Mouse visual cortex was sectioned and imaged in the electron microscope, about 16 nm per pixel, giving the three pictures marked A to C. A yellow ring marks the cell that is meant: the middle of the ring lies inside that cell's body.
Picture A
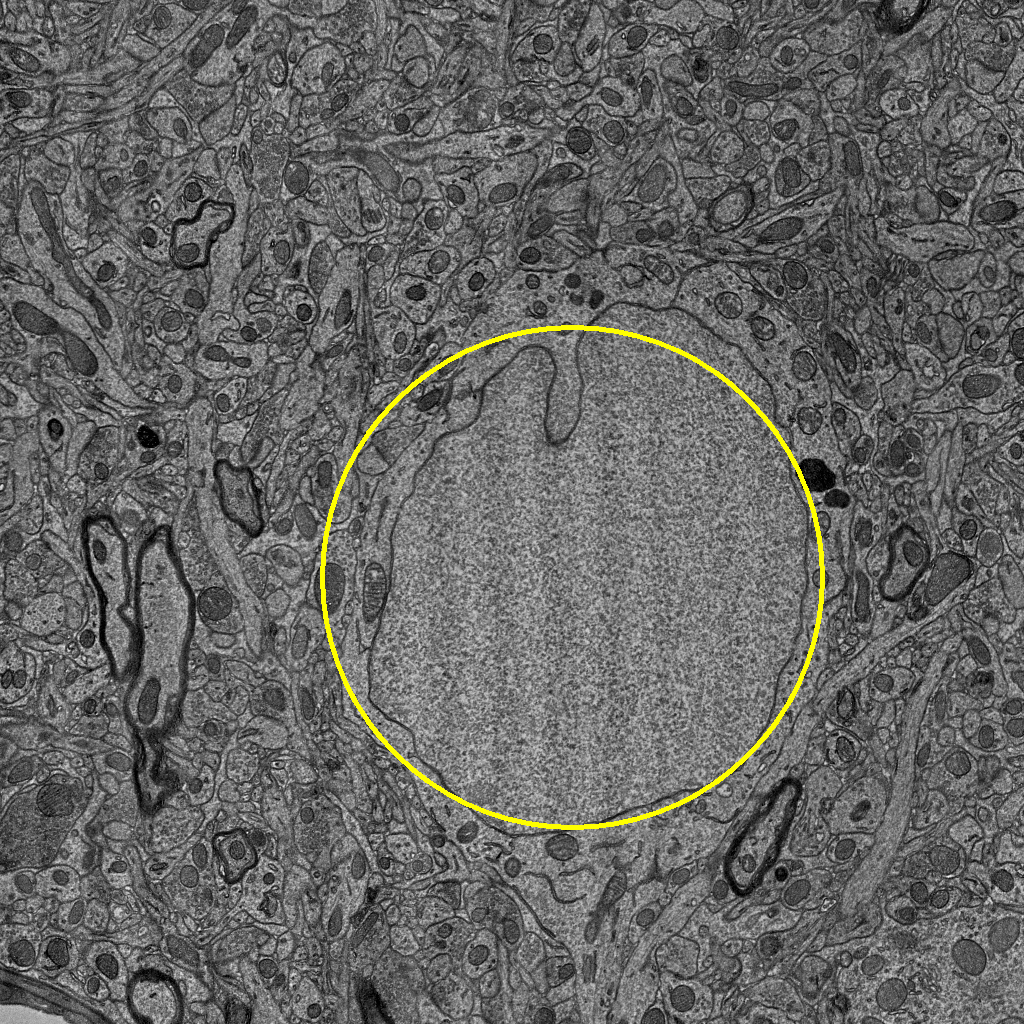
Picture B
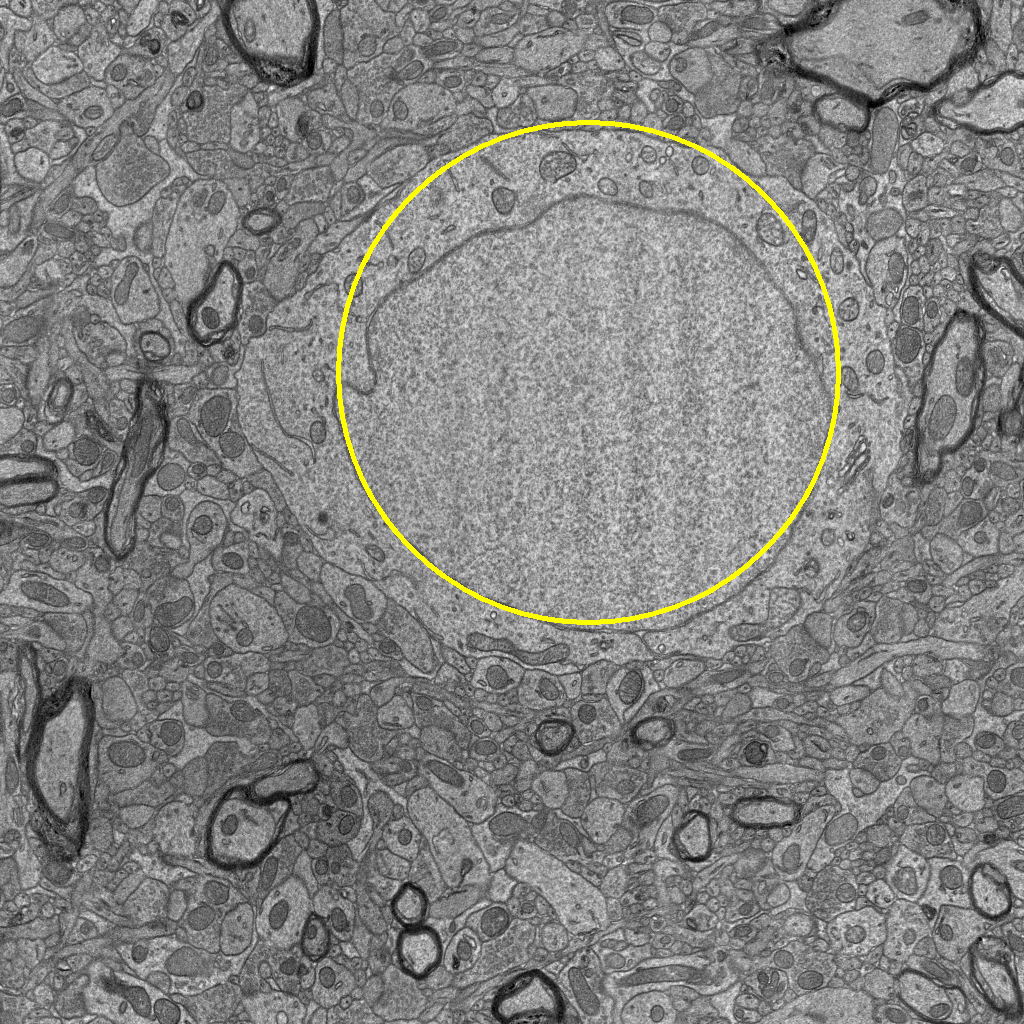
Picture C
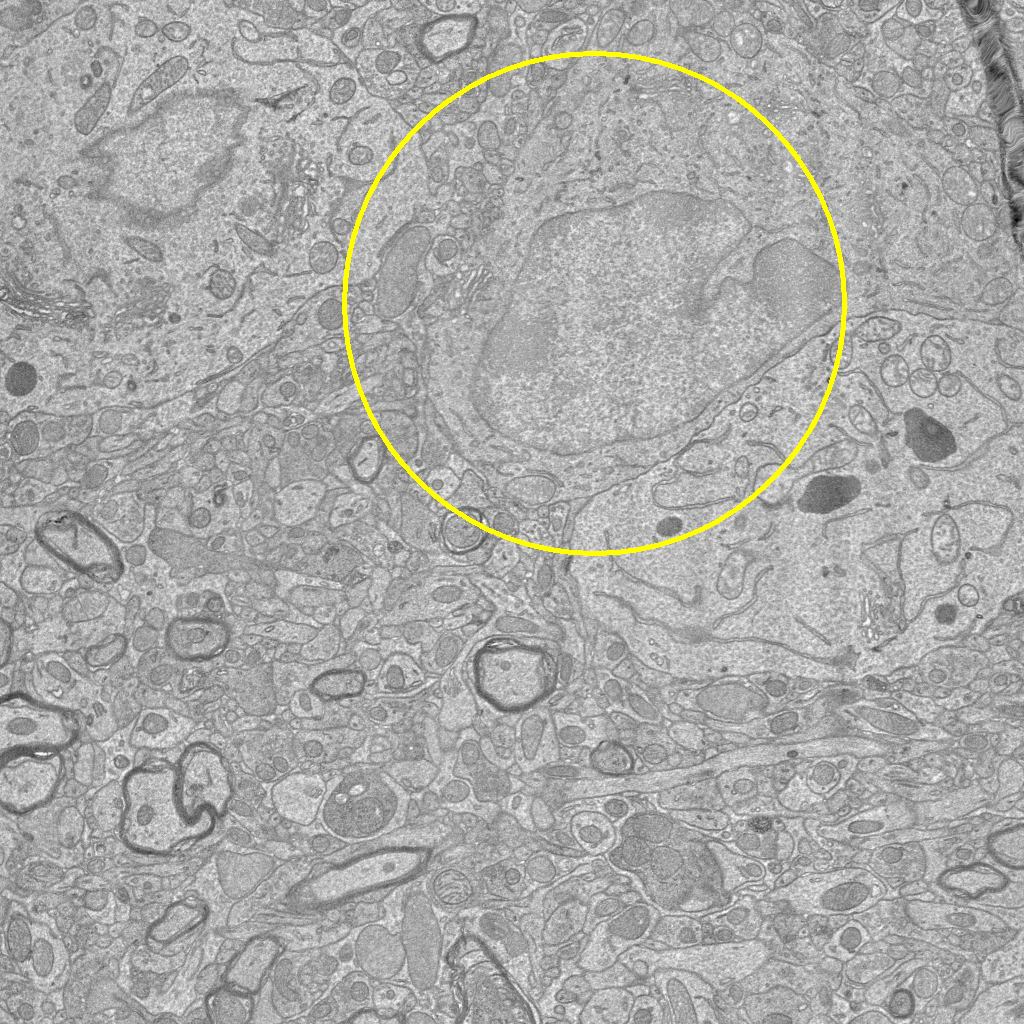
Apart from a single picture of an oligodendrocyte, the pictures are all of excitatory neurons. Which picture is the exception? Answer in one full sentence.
Picture C is the one that shows the oligodendrocyte.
